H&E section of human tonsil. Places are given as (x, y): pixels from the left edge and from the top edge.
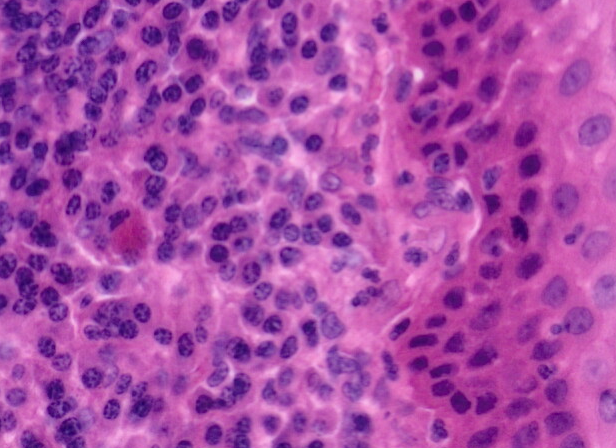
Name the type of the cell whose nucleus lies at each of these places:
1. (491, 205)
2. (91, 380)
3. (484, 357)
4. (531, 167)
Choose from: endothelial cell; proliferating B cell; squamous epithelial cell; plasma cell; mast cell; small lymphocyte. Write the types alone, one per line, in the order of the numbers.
squamous epithelial cell
plasma cell
squamous epithelial cell
squamous epithelial cell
